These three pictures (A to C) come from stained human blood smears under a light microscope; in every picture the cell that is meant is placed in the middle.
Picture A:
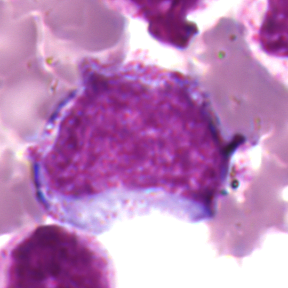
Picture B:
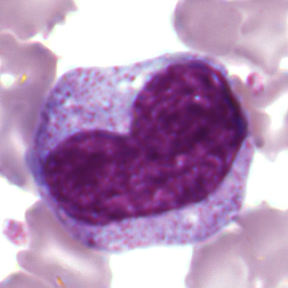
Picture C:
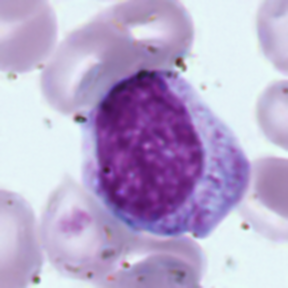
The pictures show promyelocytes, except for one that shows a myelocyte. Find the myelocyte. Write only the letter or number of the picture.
C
